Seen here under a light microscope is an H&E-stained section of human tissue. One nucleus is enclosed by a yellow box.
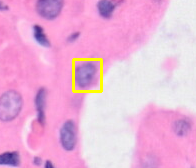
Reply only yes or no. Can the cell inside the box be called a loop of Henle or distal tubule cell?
yes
